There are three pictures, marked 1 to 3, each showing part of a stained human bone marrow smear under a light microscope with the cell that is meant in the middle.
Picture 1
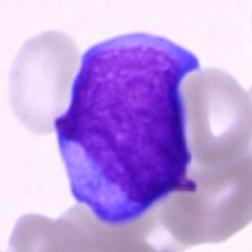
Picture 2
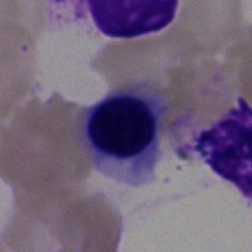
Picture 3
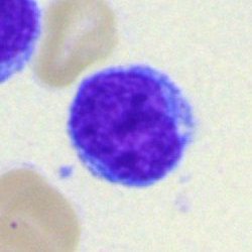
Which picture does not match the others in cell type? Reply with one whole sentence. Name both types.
Picture 2 is the odd one out: it shows an erythroblast, while the others show blasts.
